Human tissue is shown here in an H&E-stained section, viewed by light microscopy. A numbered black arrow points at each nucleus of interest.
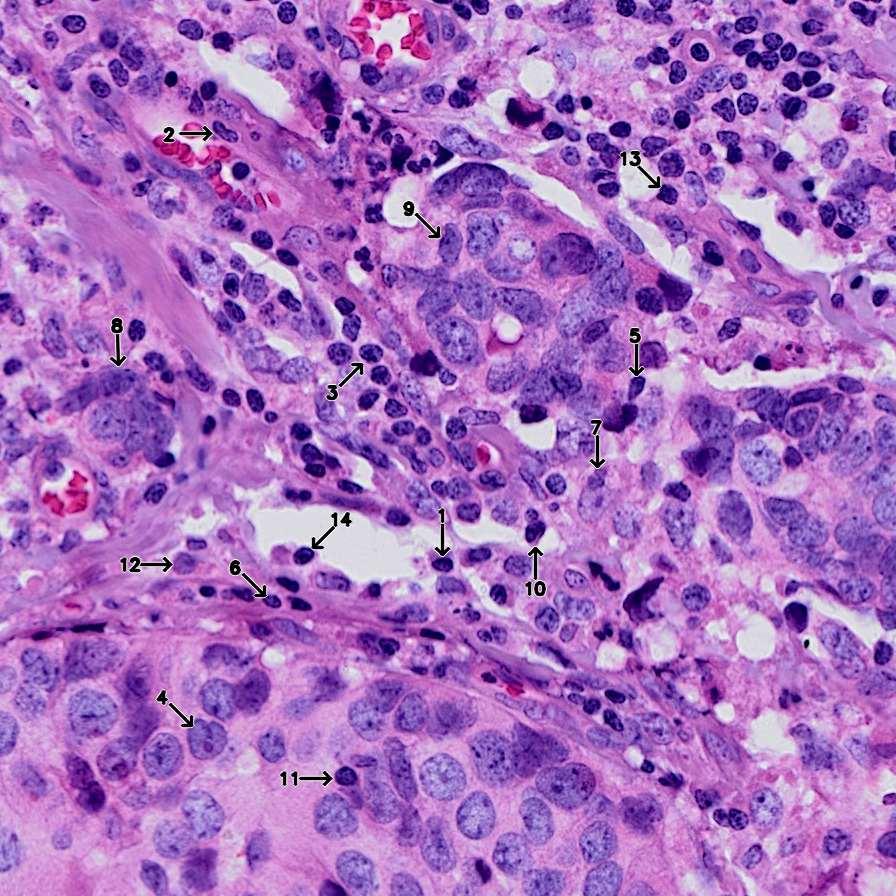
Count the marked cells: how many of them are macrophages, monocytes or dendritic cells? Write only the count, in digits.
2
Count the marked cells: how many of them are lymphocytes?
8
